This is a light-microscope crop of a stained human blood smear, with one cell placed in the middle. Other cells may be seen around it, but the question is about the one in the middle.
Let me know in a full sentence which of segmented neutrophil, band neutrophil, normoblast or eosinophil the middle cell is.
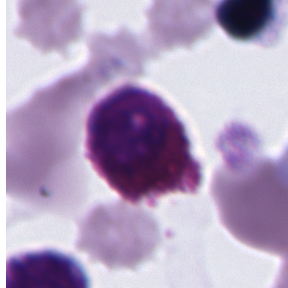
The cell sitting right in the middle is an eosinophil.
